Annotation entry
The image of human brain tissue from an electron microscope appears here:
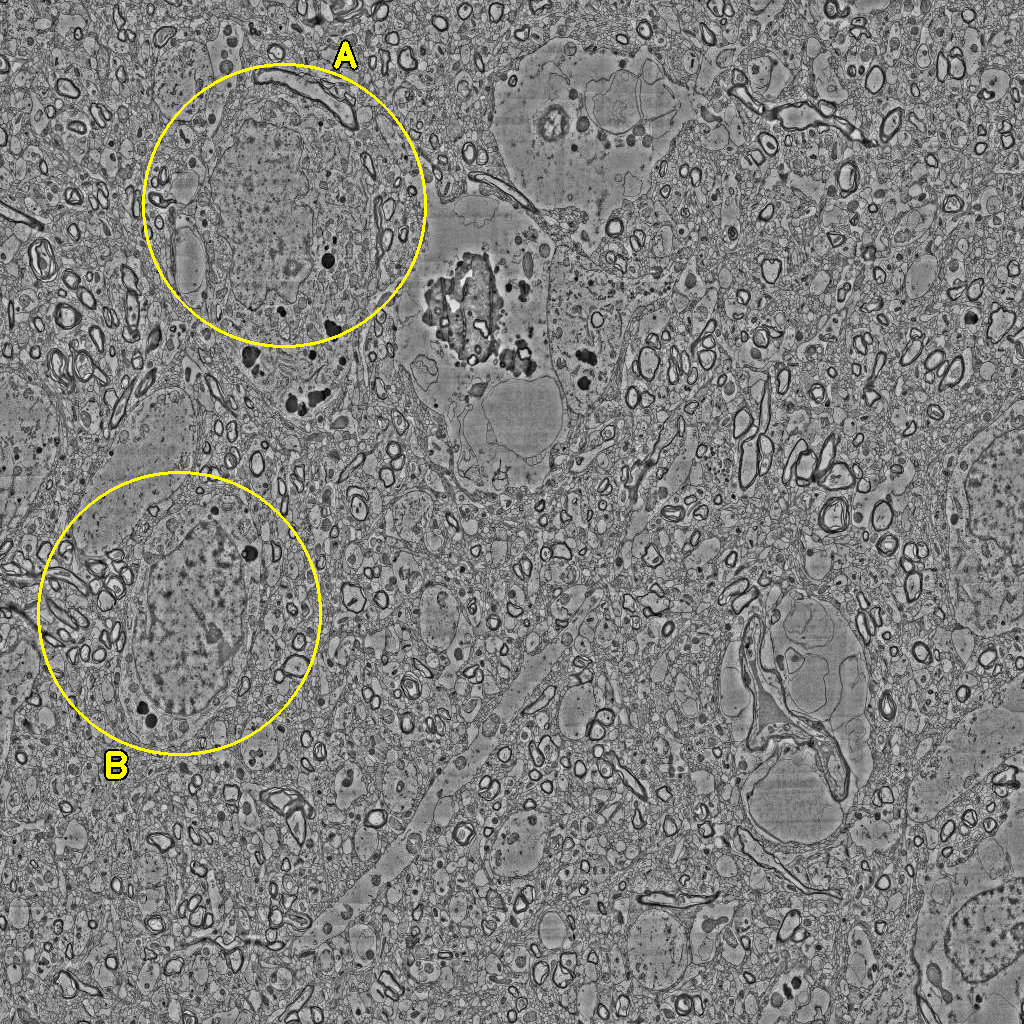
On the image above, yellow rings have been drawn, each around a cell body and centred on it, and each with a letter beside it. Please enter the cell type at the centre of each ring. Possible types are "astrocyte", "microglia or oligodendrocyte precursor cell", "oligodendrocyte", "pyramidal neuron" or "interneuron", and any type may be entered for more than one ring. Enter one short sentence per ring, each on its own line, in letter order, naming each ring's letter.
The cell that ring A is centred on is an interneuron.
The cell that ring B is centred on is an interneuron.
